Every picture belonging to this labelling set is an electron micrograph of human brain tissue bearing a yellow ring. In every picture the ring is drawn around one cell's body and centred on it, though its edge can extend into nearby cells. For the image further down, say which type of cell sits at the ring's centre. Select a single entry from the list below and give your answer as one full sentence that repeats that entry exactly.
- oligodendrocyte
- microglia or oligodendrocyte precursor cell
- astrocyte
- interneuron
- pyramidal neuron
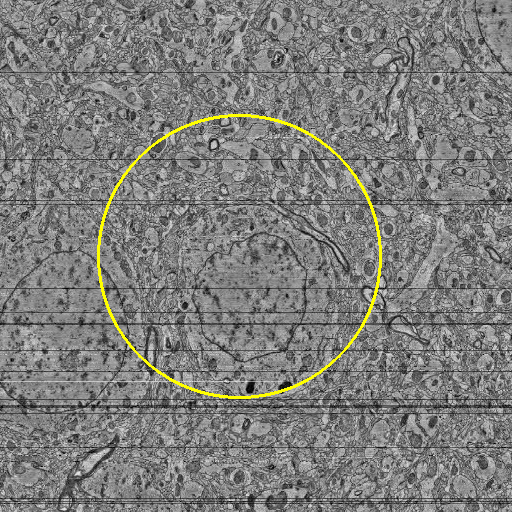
In the picture, a pyramidal neuron is the cell at the centre of the yellow ring.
